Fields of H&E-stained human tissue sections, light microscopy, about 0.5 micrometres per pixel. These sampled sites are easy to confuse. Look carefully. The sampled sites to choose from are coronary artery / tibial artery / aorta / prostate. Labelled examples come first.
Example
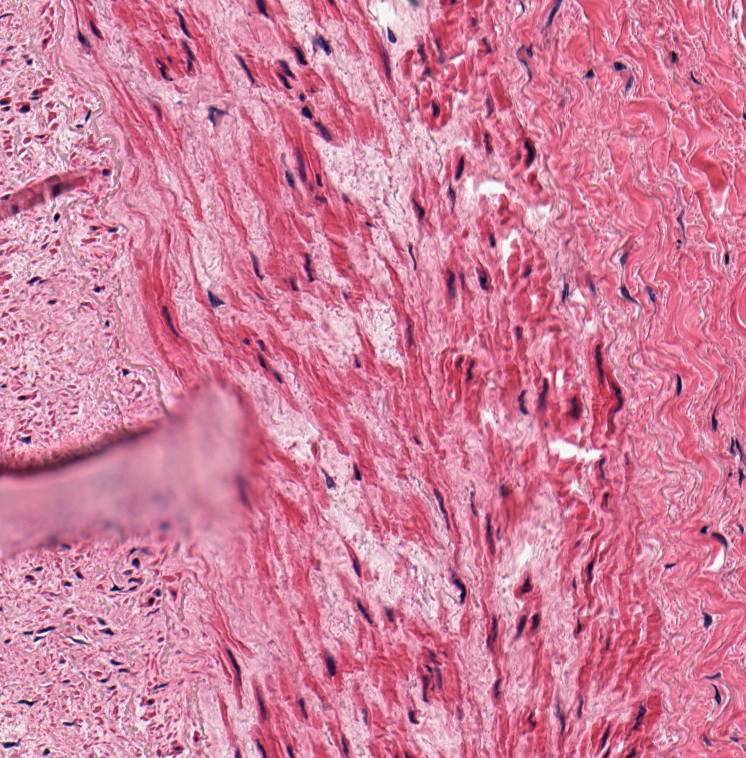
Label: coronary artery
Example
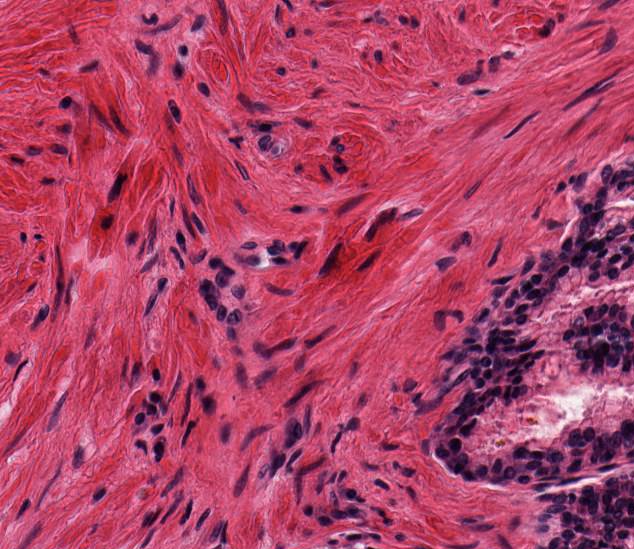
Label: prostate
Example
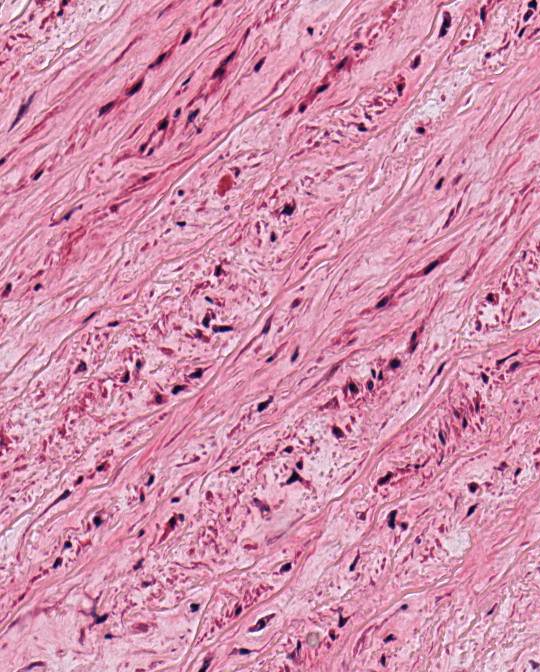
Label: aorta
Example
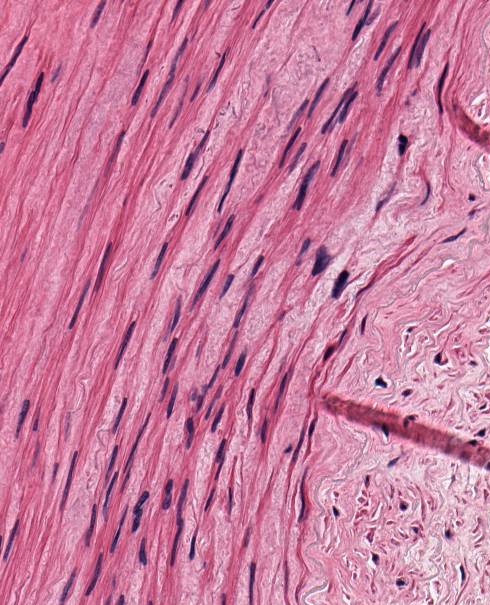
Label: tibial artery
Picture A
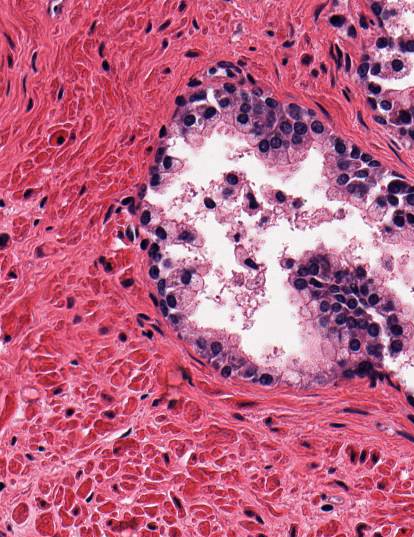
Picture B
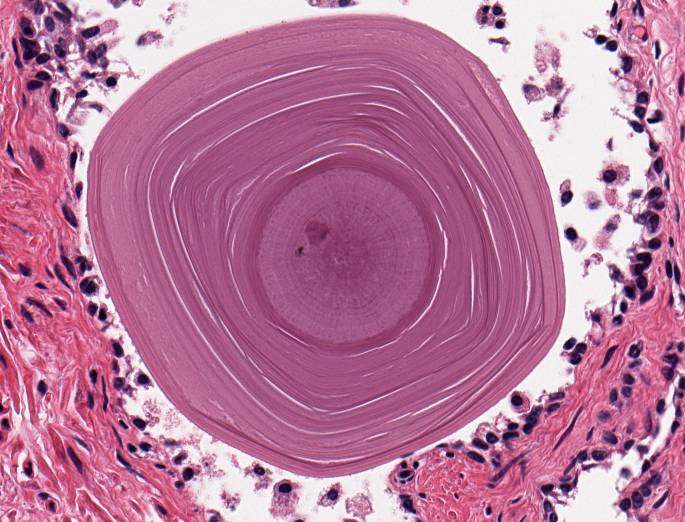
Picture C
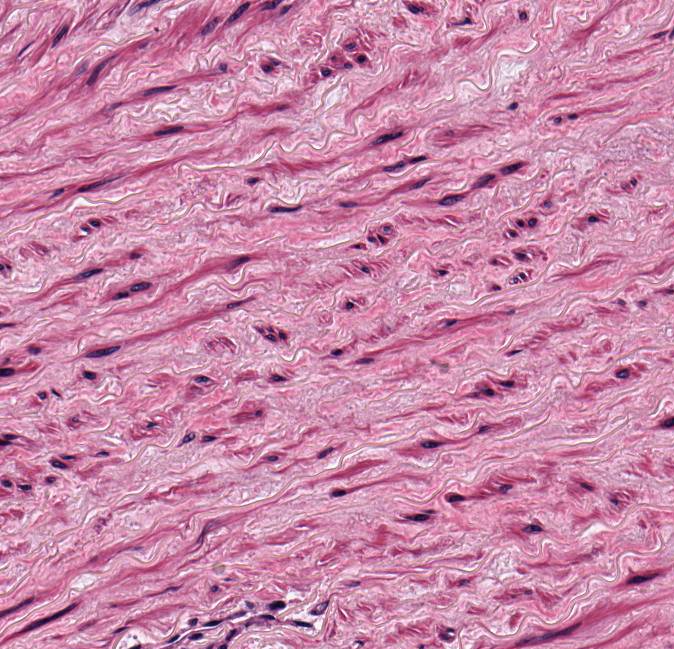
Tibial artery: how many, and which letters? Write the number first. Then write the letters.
0, none of them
